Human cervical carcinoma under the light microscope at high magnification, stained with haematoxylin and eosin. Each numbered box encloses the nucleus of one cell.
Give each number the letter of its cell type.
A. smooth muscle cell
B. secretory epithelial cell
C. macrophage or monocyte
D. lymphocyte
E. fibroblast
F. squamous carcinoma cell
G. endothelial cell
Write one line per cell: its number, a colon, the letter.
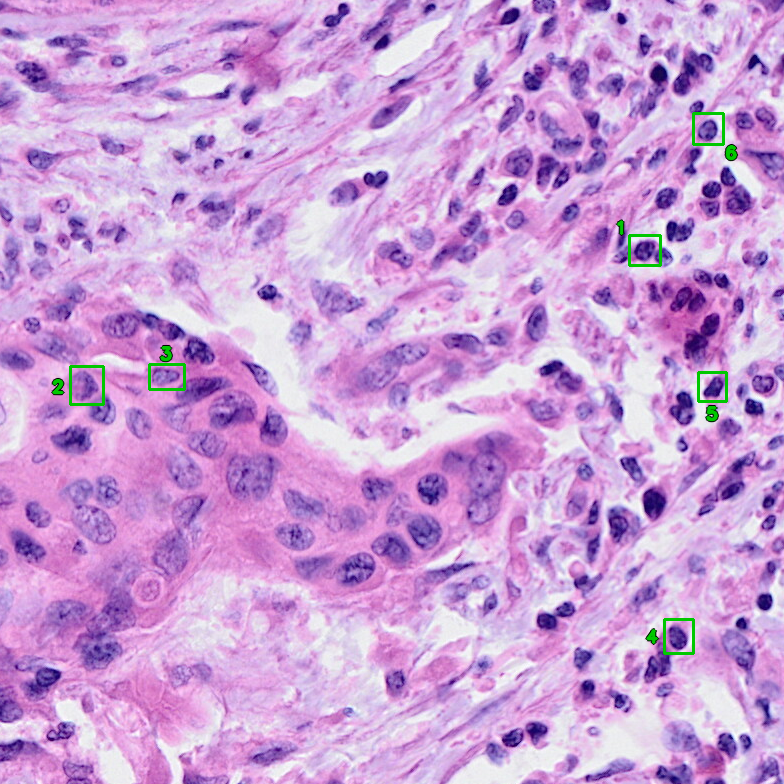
1: D
2: F
3: F
4: D
5: D
6: D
